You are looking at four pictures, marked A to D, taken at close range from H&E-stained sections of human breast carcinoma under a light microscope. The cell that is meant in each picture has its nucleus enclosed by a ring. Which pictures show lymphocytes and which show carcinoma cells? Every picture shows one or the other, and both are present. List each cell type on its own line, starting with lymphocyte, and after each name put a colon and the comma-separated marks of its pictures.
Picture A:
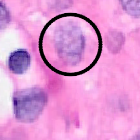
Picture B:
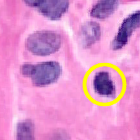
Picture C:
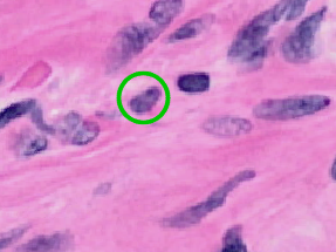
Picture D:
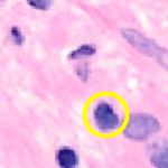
lymphocyte: B, C, D
carcinoma cell: A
